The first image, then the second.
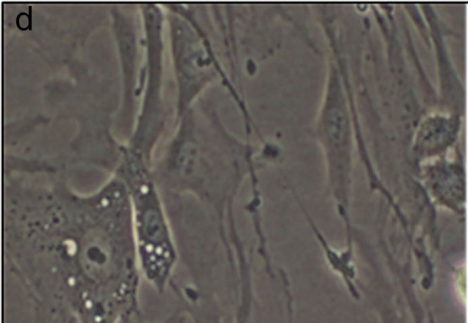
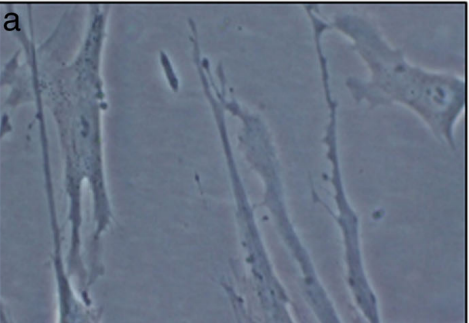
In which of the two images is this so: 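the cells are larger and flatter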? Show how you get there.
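First image: broad, spread cells with wide cytoplasm and many round bright vacuoles. Second image: slender, elongated cells with narrow bodies. The answer: the first image.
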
